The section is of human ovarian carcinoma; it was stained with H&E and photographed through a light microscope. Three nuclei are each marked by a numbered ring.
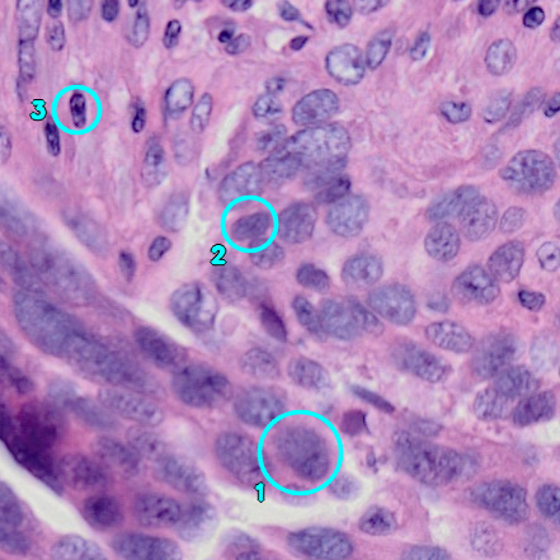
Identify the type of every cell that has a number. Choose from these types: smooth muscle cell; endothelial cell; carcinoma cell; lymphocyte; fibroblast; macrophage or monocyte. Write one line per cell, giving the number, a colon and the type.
1: carcinoma cell
2: carcinoma cell
3: lymphocyte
